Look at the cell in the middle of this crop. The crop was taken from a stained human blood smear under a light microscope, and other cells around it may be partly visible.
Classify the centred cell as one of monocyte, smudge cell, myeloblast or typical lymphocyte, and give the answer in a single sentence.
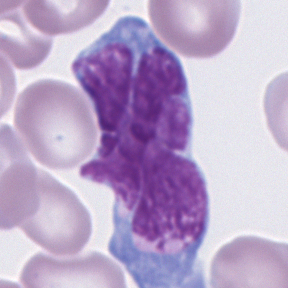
To answer, the cell in the center of the crop is a myeloblast.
